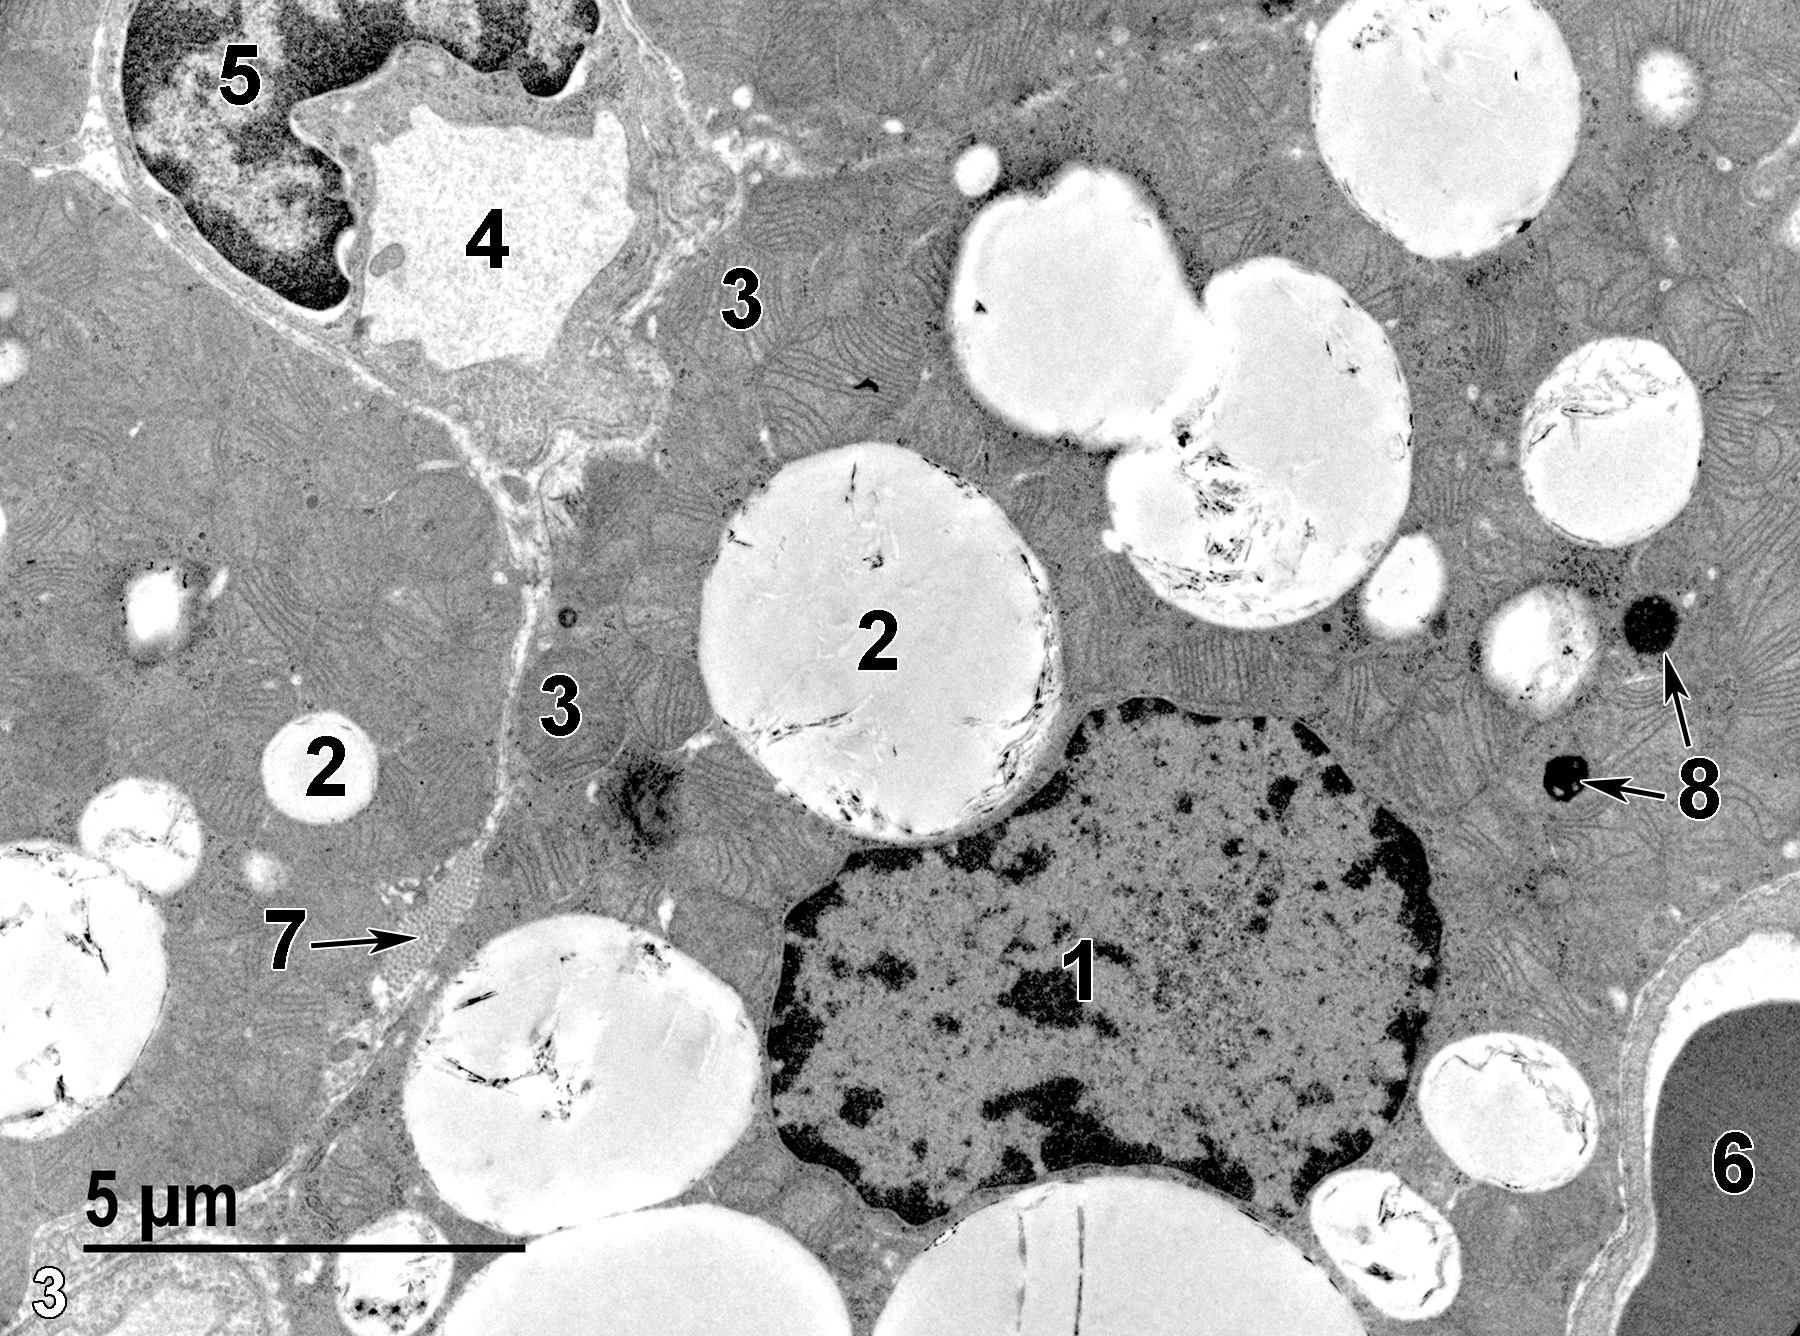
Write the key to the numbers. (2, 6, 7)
2 lipid bodies
6 erythrocyte
7 collagen bundles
